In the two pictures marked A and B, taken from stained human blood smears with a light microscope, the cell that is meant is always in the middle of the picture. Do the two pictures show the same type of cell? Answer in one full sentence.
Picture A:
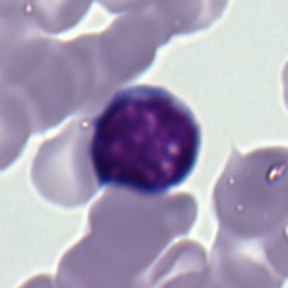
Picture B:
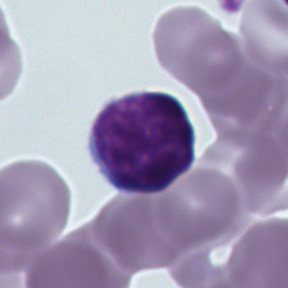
Yes, they are the same type: both are typical lymphocytes.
